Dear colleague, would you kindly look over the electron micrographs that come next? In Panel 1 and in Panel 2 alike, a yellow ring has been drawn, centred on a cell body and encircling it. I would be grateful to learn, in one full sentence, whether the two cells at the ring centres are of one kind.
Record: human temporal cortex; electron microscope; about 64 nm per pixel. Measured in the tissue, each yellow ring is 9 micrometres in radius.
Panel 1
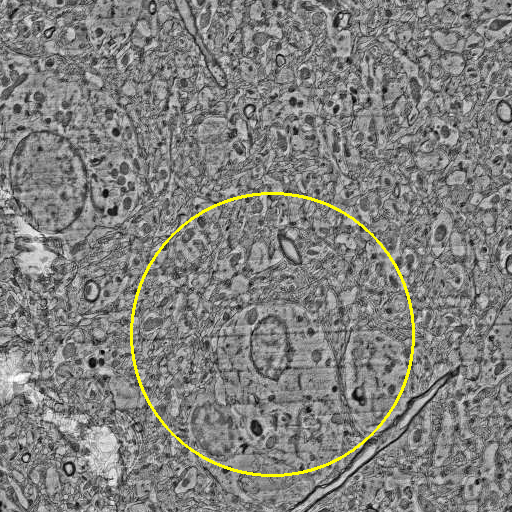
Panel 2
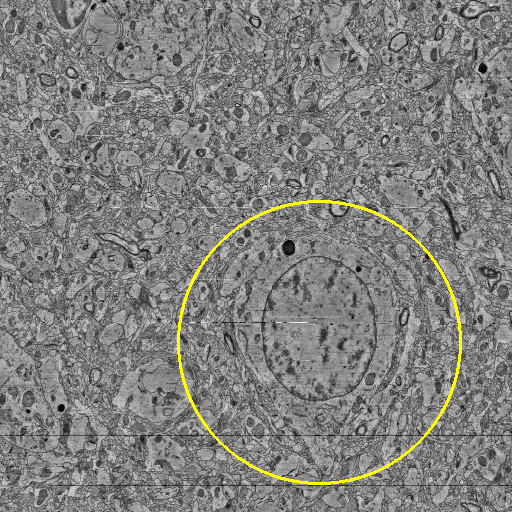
Yes, the cells in the middle of the rings in the two panels are of one kind.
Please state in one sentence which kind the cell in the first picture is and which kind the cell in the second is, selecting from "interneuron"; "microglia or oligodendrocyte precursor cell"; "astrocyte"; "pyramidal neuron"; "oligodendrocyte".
Each one of the two ringed cells is a pyramidal neuron.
